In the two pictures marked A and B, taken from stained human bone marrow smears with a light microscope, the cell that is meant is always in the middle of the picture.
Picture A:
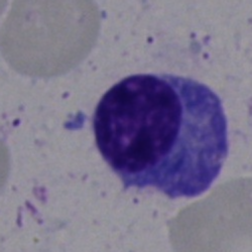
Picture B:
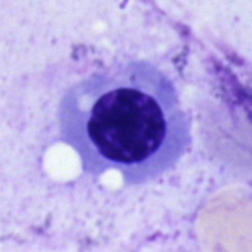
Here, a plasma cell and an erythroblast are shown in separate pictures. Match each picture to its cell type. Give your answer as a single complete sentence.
Picture A is of a plasma cell, and picture B is of an erythroblast.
